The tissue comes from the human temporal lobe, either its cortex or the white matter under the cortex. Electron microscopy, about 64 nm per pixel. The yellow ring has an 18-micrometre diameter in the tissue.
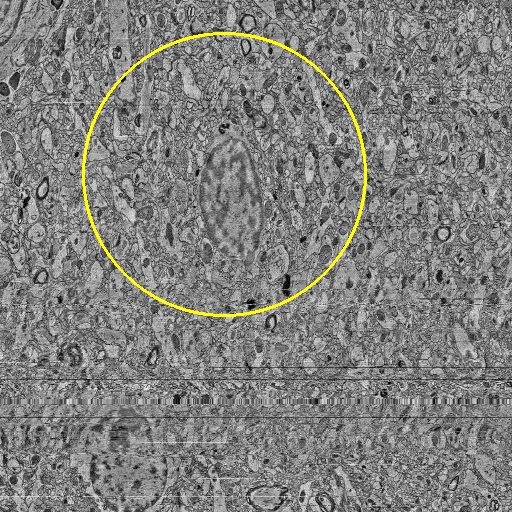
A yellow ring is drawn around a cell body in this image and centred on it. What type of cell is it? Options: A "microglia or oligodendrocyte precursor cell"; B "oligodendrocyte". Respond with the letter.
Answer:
B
